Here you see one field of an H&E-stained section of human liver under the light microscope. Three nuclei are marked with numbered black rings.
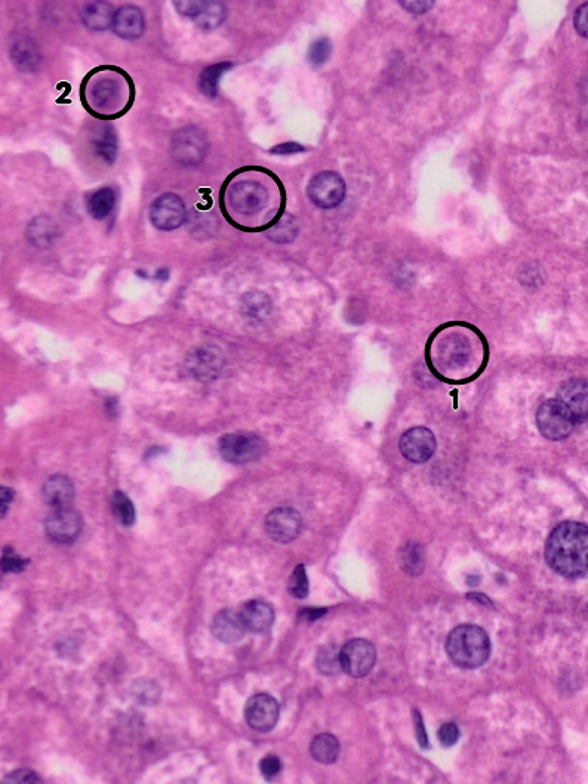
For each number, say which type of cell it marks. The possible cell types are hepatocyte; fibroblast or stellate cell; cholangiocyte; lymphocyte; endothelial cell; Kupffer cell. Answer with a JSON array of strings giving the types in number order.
["hepatocyte", "Kupffer cell", "hepatocyte"]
